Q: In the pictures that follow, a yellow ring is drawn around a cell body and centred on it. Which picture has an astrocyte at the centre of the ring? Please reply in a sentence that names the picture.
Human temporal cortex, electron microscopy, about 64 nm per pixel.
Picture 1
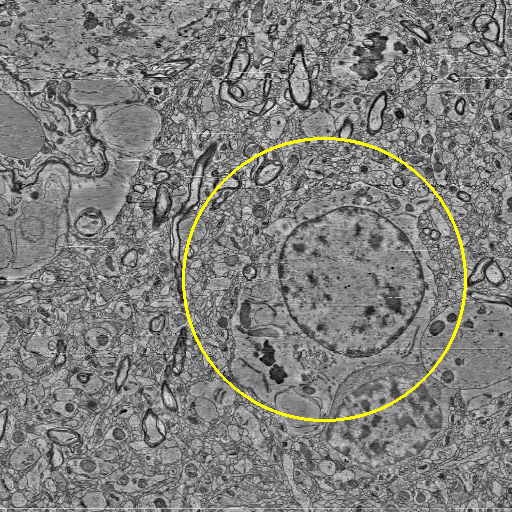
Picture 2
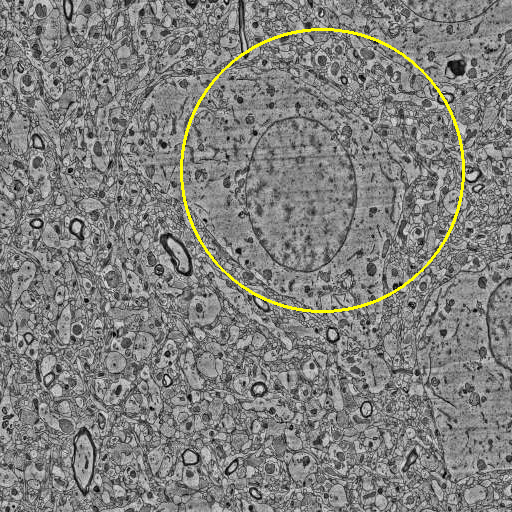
Picture 1 shows it at the centre of its ring.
